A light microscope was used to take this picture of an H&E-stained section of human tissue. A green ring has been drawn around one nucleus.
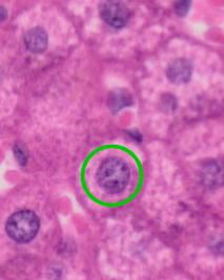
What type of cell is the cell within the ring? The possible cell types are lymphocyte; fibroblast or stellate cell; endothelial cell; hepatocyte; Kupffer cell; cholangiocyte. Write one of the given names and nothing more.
hepatocyte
